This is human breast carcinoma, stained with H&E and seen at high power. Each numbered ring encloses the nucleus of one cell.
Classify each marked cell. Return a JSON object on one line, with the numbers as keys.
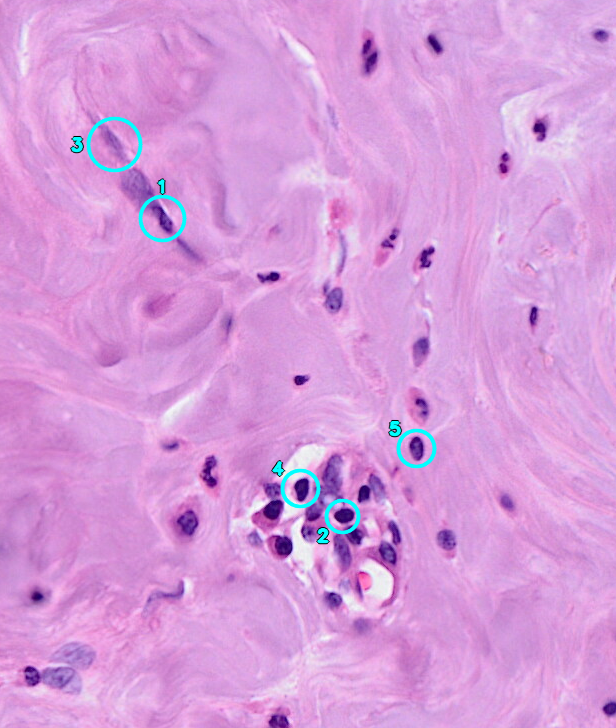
{"1": "fibroblast", "2": "lymphocyte", "3": "fibroblast", "4": "lymphocyte", "5": "lymphocyte"}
